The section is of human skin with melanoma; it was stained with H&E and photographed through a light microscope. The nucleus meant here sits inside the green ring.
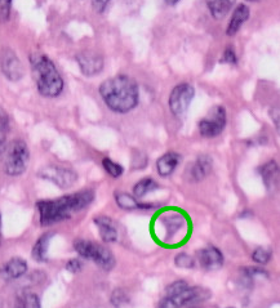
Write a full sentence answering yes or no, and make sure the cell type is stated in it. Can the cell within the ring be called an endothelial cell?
Yes, an endothelial cell is the correct identification for the cell within the ring.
